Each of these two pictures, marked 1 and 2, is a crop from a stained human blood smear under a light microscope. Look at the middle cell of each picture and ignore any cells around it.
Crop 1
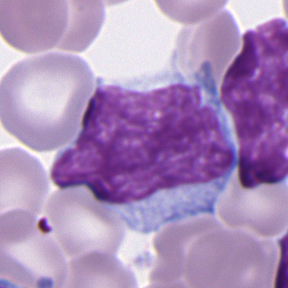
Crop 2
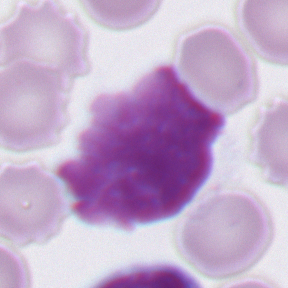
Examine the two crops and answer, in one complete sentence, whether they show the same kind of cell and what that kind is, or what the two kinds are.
No, the cell centred in crop 2 is a smudge cell; crop 1 centres on a typical lymphocyte.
